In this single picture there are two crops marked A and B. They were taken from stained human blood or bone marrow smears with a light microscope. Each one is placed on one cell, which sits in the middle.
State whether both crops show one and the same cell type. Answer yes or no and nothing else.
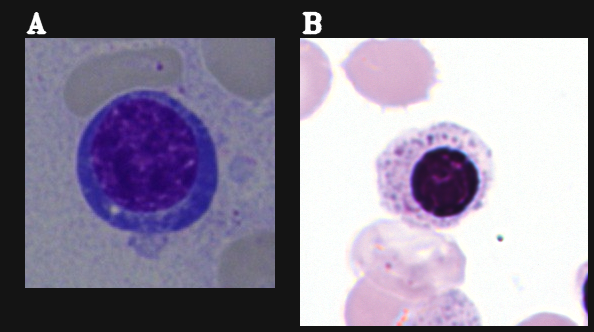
yes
